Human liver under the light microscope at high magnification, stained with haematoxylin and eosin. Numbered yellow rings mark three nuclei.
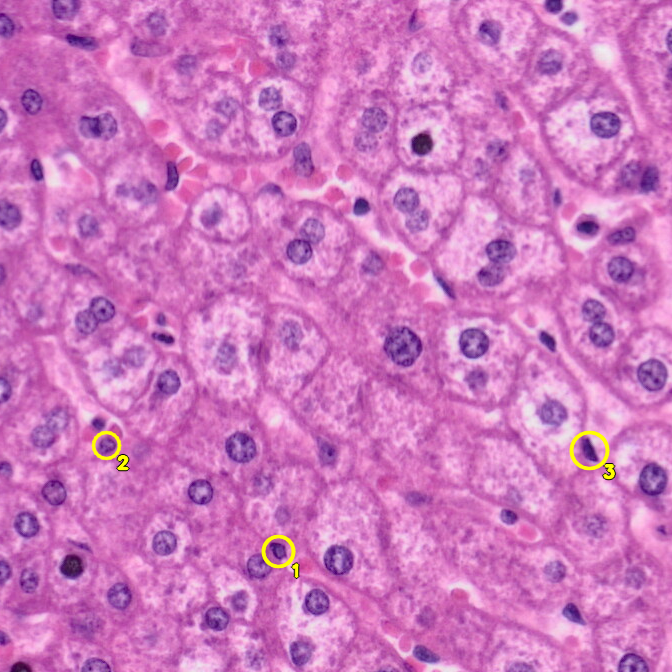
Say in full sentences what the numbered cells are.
Cell 1 is a fibroblast or stellate cell. Cell 2 is a Kupffer cell. Cell 3 is an endothelial cell.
